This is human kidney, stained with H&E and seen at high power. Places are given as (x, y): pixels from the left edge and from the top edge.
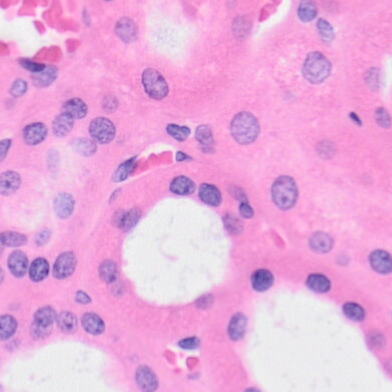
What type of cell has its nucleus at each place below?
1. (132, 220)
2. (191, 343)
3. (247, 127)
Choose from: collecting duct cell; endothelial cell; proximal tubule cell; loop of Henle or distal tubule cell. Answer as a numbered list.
1. loop of Henle or distal tubule cell
2. endothelial cell
3. proximal tubule cell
